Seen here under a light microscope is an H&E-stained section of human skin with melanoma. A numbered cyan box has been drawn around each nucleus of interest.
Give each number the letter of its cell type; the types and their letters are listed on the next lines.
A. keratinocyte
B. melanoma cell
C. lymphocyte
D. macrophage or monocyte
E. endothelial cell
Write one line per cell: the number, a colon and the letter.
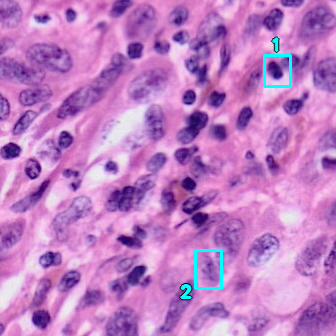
1: C
2: B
